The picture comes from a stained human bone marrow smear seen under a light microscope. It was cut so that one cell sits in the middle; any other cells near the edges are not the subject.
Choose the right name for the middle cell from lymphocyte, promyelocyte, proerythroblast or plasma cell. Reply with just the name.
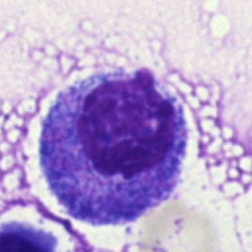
promyelocyte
